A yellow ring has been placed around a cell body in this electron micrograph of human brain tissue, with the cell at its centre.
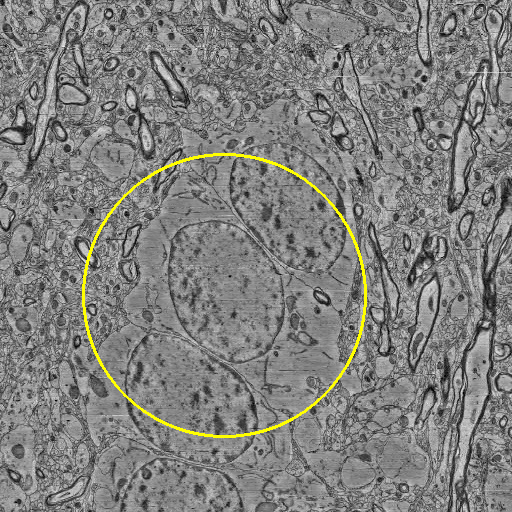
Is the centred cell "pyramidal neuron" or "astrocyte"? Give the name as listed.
astrocyte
